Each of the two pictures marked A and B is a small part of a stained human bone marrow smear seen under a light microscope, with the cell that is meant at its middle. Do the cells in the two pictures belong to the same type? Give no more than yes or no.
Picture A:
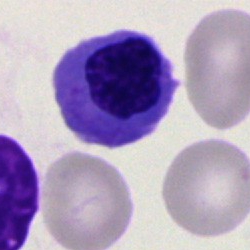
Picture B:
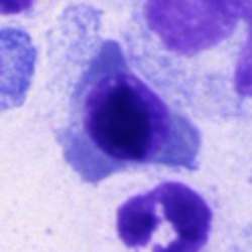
yes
